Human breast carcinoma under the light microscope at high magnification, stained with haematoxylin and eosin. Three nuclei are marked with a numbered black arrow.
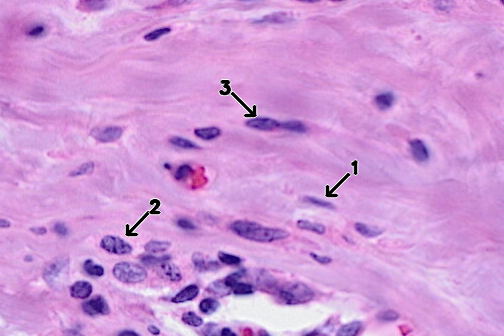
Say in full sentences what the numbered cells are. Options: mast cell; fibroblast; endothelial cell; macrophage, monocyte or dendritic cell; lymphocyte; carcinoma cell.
Cell 1 is a fibroblast. Cell 2 is a mast cell. Cell 3 is a lymphocyte.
